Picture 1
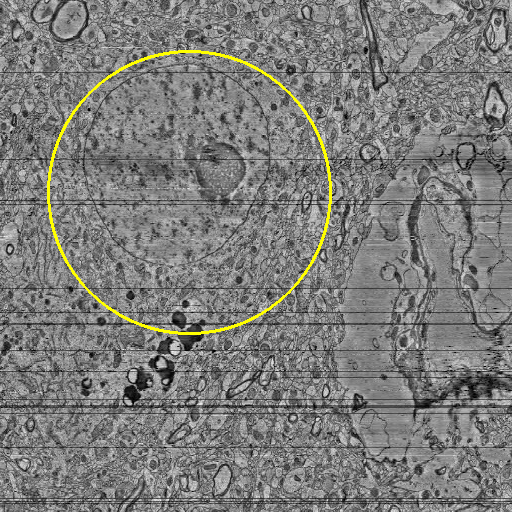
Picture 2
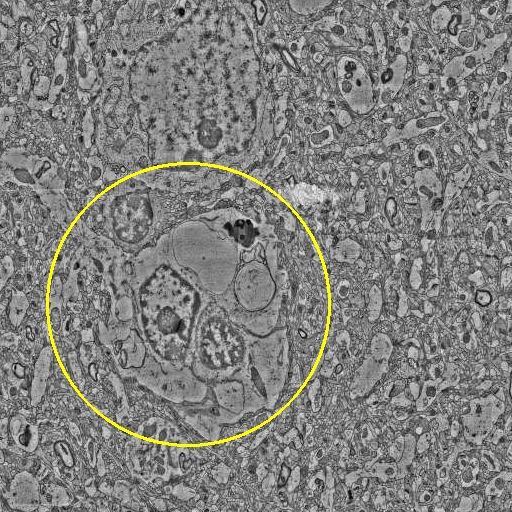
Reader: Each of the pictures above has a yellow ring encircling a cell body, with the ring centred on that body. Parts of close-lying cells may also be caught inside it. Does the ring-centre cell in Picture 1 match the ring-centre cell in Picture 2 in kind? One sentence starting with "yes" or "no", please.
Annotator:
No, Picture 1 and Picture 2 show ring-centre cells of two kinds.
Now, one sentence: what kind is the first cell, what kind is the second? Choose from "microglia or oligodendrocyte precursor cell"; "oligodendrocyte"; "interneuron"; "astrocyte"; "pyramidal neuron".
The first picture has a pyramidal neuron at its ring centre, and the second has an astrocyte.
